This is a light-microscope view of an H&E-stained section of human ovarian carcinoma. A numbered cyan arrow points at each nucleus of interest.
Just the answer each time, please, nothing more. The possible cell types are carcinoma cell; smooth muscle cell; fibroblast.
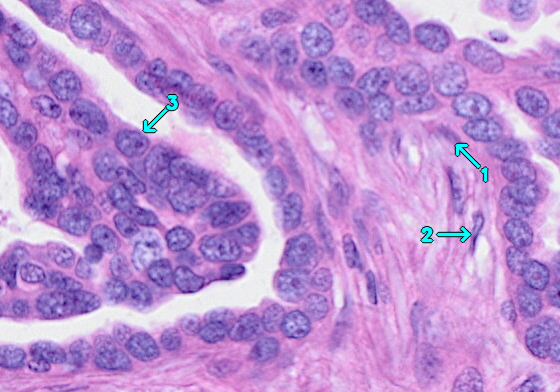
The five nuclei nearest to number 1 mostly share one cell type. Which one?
carcinoma cell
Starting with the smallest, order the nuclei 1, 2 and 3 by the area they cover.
1, 2, 3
